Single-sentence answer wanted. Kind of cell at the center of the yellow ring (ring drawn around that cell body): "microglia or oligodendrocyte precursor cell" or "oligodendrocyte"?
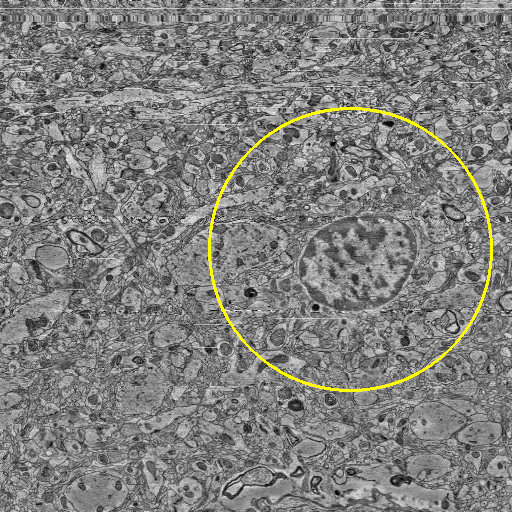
The cell centered in the ring is a microglial cell or oligodendrocyte precursor cell.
